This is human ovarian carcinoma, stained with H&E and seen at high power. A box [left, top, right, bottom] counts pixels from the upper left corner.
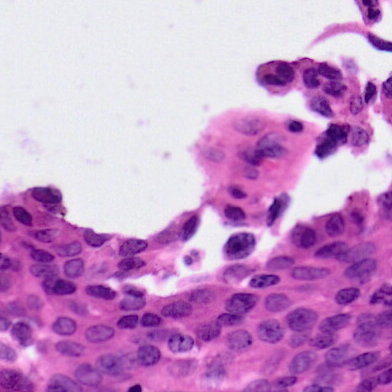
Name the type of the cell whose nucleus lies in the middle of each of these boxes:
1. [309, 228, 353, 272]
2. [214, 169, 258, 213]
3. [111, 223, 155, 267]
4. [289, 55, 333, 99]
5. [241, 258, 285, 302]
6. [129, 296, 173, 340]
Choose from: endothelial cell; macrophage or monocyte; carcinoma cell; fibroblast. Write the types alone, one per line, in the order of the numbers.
carcinoma cell
endothelial cell
carcinoma cell
carcinoma cell
macrophage or monocyte
carcinoma cell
